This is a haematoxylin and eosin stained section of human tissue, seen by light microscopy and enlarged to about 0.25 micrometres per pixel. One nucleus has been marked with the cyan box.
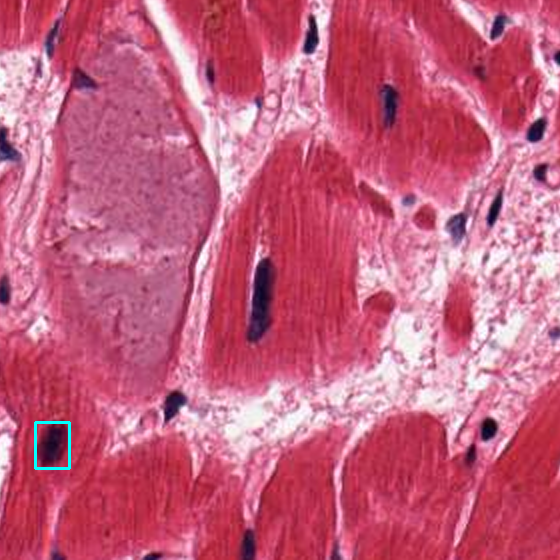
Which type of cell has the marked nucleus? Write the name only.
cardiomyocyte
